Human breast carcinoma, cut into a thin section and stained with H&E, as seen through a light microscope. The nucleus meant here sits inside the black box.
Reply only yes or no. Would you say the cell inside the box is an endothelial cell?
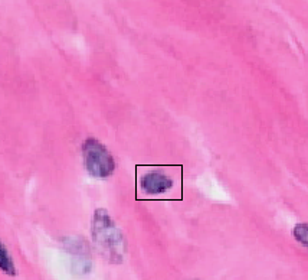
no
